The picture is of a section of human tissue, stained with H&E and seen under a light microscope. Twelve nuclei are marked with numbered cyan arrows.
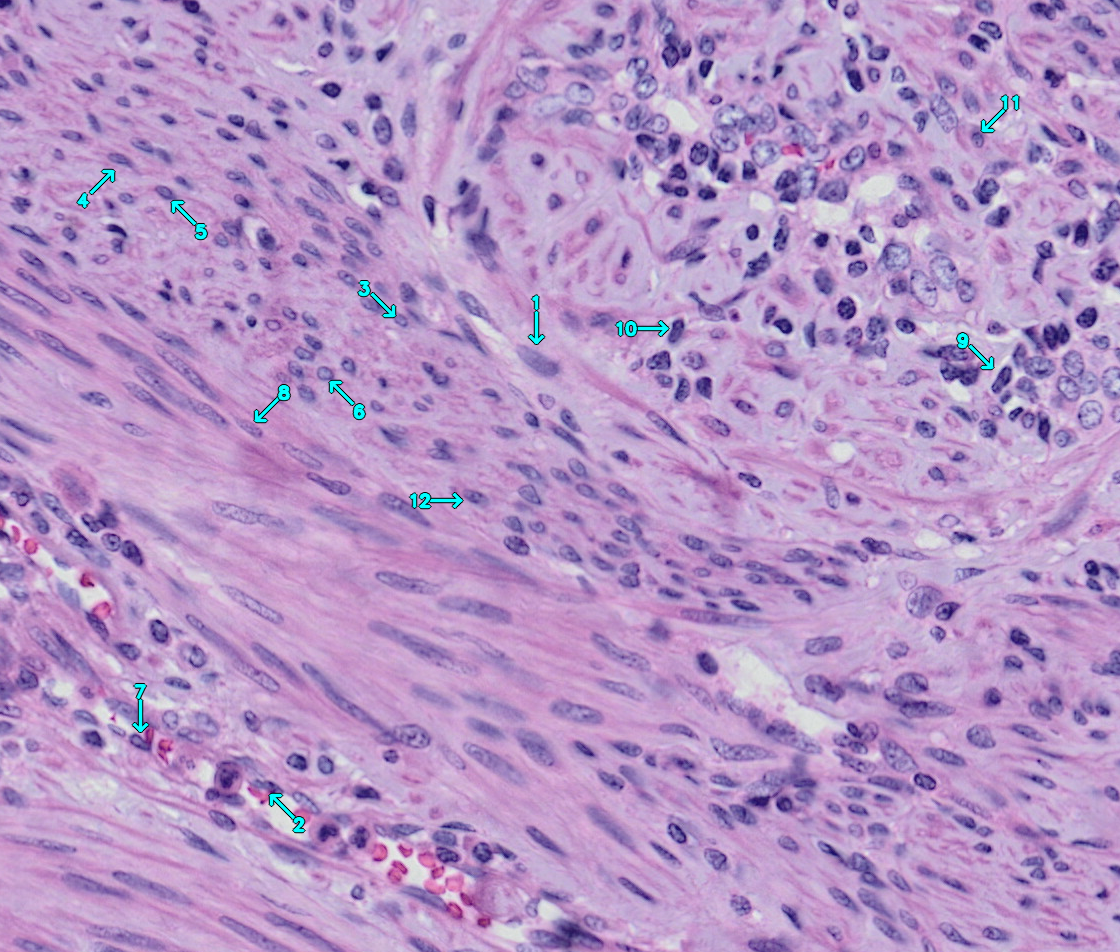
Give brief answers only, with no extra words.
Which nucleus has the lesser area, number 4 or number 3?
3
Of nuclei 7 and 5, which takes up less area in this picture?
5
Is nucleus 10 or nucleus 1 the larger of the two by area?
1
